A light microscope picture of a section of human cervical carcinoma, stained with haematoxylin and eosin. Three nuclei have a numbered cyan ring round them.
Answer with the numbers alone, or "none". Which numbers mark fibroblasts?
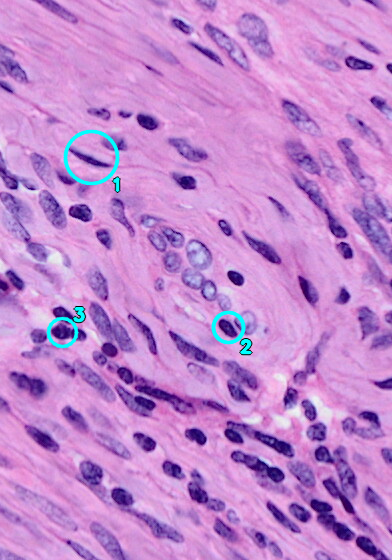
1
